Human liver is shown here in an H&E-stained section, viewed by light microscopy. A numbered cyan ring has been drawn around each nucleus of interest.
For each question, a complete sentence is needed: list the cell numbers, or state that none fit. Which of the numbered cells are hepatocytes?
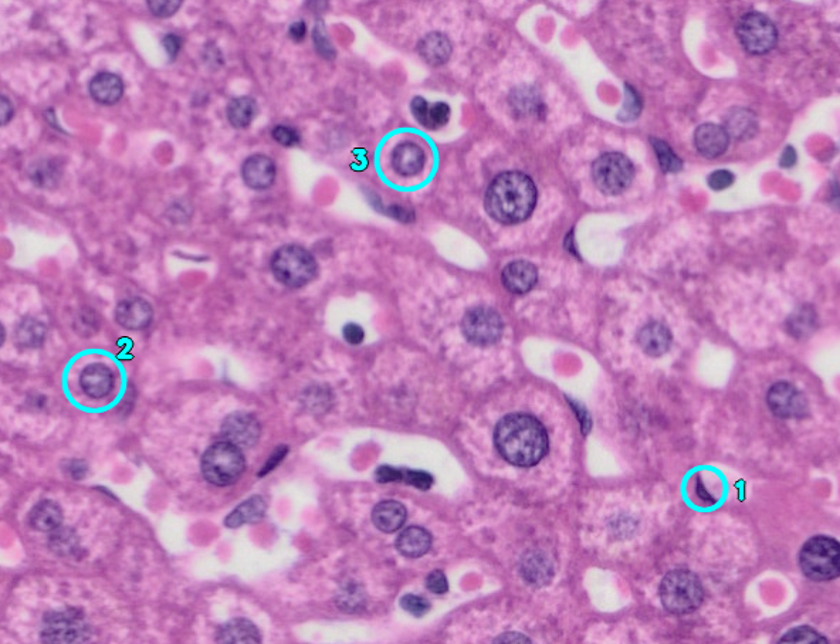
The cells given the numbers 2 and 3 are hepatocytes.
